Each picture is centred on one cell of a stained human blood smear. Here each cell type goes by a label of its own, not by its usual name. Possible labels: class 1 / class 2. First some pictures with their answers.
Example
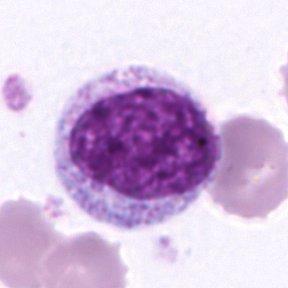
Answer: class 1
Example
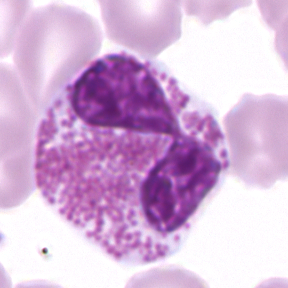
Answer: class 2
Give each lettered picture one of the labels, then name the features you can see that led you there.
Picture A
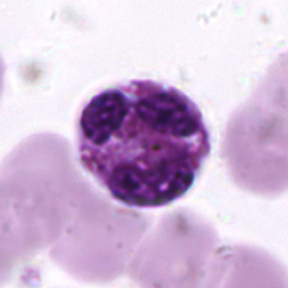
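class 2: The nucleus is divided into three separate lobes.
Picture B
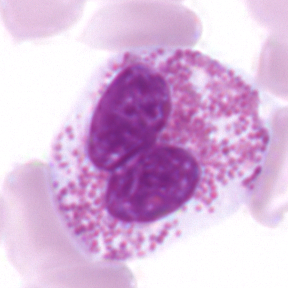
class 2: The nucleus is made of two lobes.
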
